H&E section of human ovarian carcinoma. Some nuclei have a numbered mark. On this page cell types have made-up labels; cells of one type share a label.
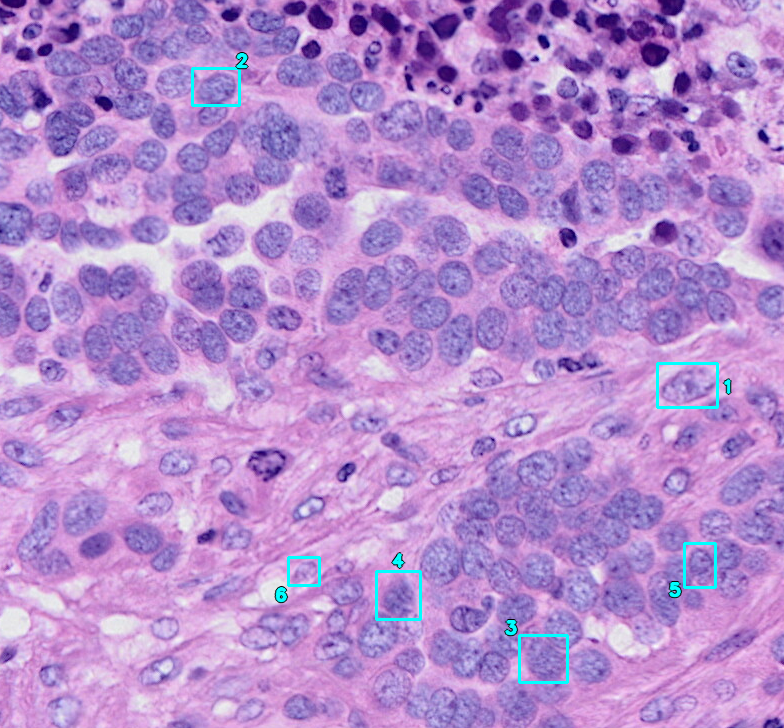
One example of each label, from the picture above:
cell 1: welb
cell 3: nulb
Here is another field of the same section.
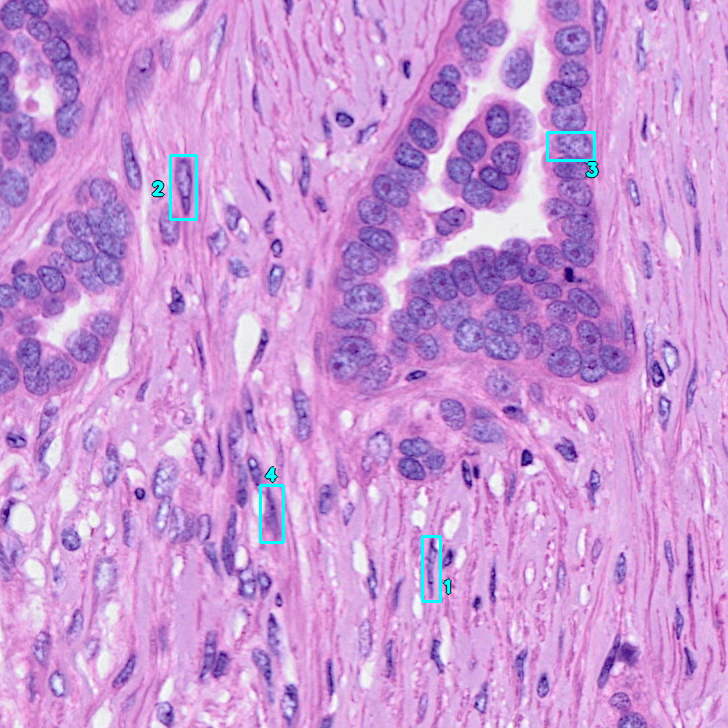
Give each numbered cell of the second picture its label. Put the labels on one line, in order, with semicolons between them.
welb; welb; nulb; welb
